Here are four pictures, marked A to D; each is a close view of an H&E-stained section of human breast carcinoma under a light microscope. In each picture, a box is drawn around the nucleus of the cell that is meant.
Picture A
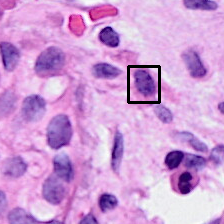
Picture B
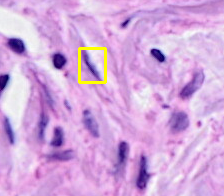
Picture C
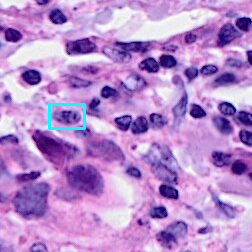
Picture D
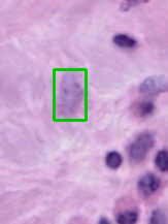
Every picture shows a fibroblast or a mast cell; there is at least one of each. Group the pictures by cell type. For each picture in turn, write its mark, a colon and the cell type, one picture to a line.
A: mast cell
B: fibroblast
C: mast cell
D: fibroblast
